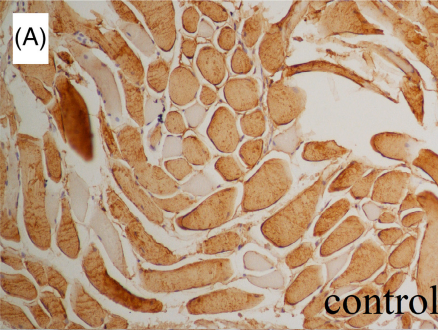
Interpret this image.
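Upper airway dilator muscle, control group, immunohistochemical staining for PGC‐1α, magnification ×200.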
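Most fibers are filled with a strong, fairly even brown stain. A few paler fibers are mixed among them, and one fiber at the left edge is very dark. Small dark nuclei are sparse and sit at the edges of the fibers.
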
